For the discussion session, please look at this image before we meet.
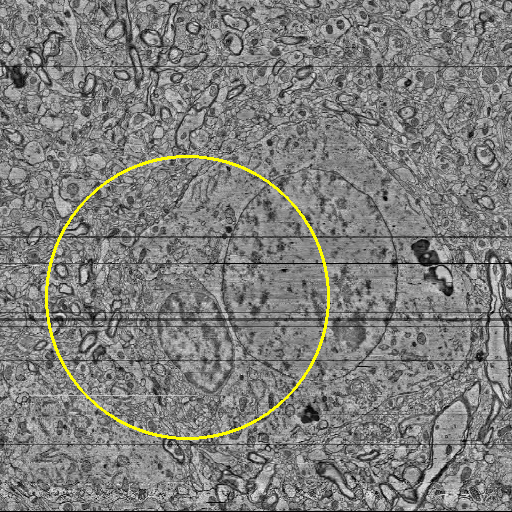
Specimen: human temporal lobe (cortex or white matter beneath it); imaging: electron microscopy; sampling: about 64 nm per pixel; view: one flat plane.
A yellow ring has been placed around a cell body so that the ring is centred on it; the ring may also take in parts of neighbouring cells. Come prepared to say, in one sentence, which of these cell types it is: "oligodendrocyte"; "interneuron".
The cell centred in the ring is an oligodendrocyte.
